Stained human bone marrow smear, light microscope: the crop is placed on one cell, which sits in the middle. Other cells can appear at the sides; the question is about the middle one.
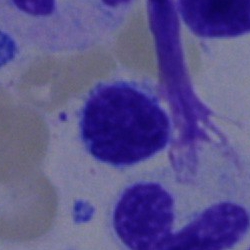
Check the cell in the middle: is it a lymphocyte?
yes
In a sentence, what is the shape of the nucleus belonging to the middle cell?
Have a look at the nucleus, which is one compact mass, round, oval or kidney-shaped.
